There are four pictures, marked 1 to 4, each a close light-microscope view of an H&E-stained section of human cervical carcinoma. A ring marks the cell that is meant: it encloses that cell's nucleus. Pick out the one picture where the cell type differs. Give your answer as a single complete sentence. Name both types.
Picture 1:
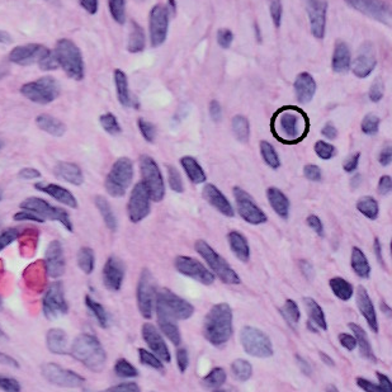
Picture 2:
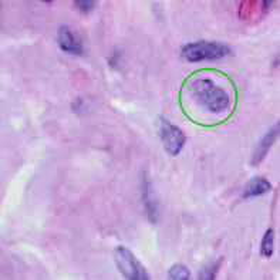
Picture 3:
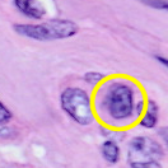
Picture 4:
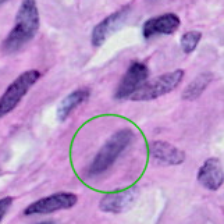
Picture 3 differs, because its cell is an endothelial cell and the rest are fibroblasts.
